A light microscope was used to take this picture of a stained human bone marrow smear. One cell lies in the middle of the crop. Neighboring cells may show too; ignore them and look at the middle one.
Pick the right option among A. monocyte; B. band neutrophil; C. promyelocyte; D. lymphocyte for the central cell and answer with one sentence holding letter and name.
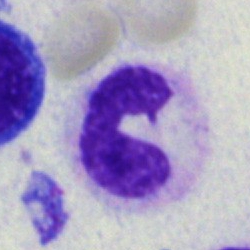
Option B is the correct one; it names the central cell as a band neutrophil.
